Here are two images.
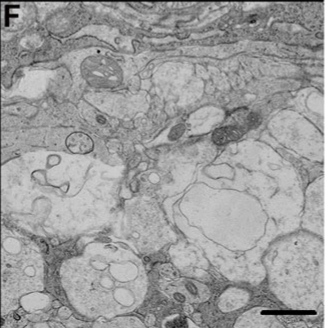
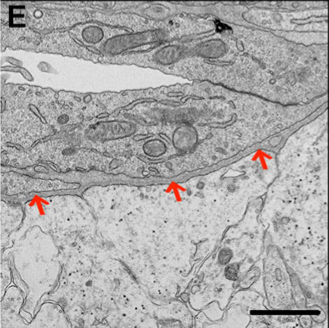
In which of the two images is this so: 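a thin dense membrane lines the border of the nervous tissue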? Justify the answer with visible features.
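The second image. First image: loosely packed pale profiles with no continuous dense boundary line. Second image: a continuous thin dense line runs along the lower edge of a flattened cell, bordering paler tissue.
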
